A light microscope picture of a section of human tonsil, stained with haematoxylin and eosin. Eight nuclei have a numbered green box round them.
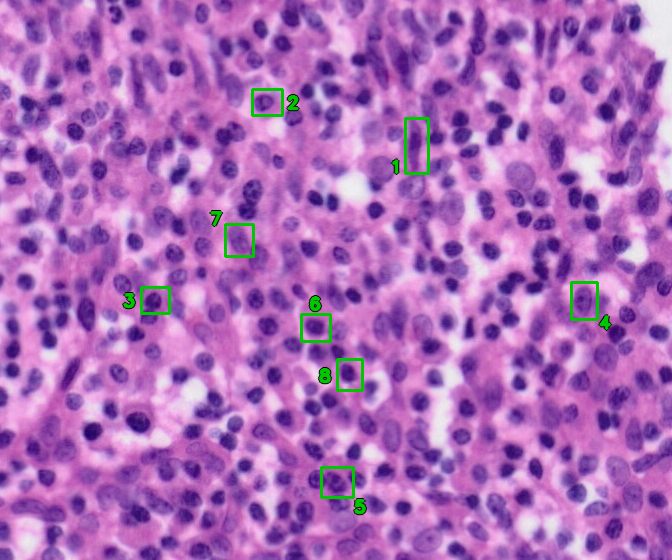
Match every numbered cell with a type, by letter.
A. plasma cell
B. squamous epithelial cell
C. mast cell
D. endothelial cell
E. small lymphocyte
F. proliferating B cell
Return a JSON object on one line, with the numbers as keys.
{"1": "B", "2": "A", "3": "A", "4": "B", "5": "A", "6": "A", "7": "B", "8": "A"}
